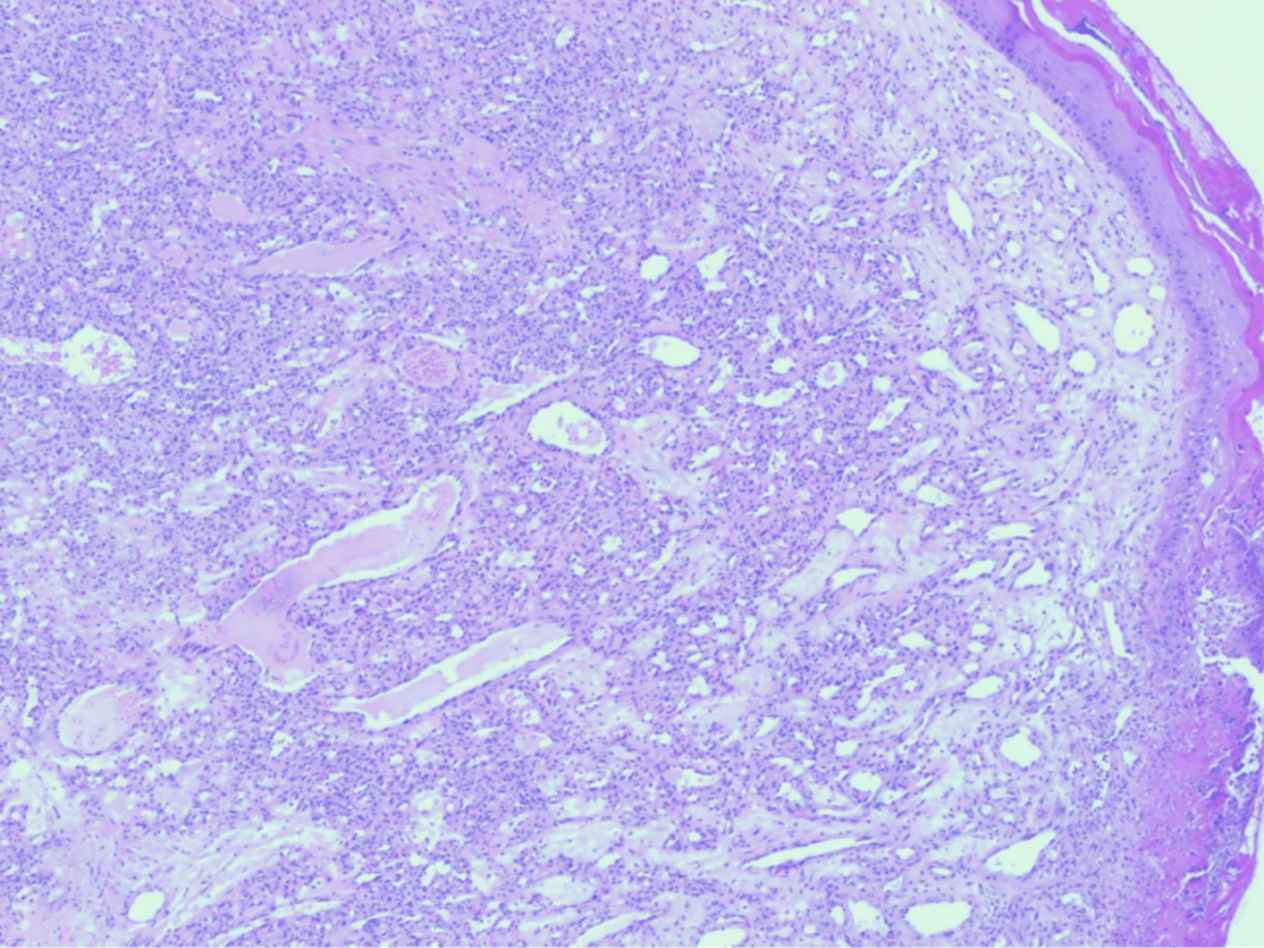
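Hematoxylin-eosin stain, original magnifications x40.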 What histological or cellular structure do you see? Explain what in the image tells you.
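Many small round and slit-like lumina are packed closely in a cellular background. The answer: capillary-sized vascular channels.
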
